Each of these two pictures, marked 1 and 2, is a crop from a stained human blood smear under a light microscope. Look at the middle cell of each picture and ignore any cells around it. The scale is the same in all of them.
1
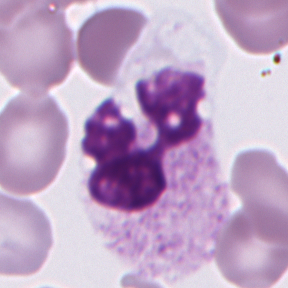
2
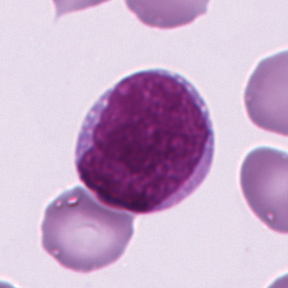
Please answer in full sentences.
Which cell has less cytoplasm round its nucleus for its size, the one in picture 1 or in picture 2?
The nucleus fills more of the cell in picture 2 than in picture 1.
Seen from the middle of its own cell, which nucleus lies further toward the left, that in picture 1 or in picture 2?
In picture 1 the nucleus is shifted more toward the left.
